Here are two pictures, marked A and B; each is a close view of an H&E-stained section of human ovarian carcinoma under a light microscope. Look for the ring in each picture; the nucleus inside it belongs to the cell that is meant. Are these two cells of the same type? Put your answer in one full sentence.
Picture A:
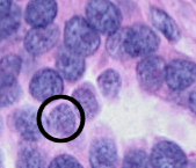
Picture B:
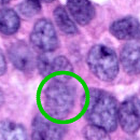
Yes, the two pictures both show carcinoma cells.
